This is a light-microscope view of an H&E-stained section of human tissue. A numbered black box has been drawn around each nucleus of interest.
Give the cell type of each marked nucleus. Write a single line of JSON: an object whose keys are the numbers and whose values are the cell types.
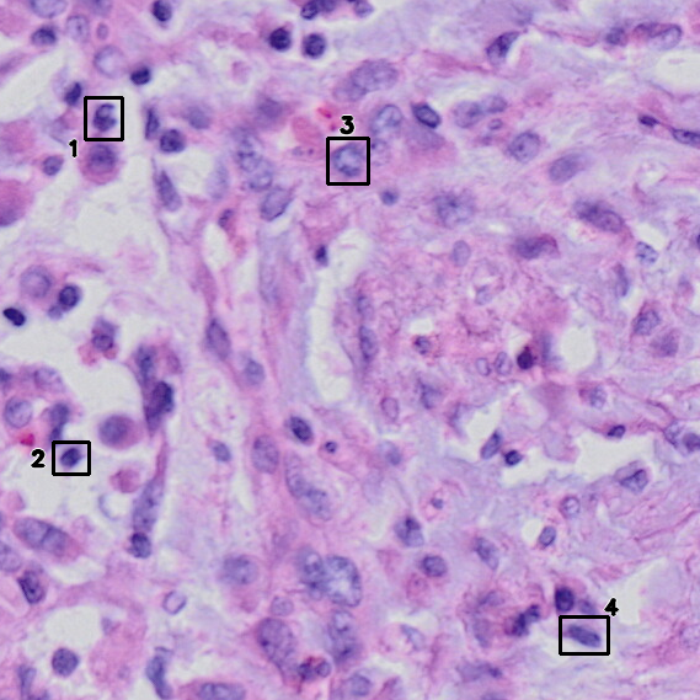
{"1": "lymphocyte", "2": "lymphocyte", "3": "endothelial cell", "4": "lymphocyte"}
